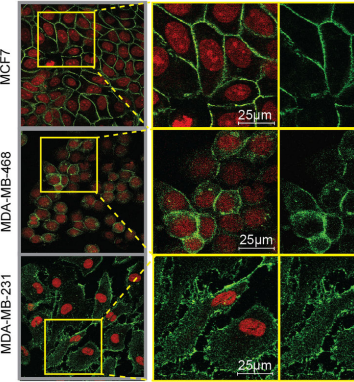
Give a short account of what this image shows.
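Top row: tightly packed polygonal cells in a cobblestone sheet, with thin continuous green outlines along cell borders and round to oval red nuclei filling much of each cell. Middle row: rounded cells in small clusters, with green at the borders plus fainter diffuse green in the cytoplasm. Bottom row: large, flattened, spread cells with irregular outlines and ruffled edges.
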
